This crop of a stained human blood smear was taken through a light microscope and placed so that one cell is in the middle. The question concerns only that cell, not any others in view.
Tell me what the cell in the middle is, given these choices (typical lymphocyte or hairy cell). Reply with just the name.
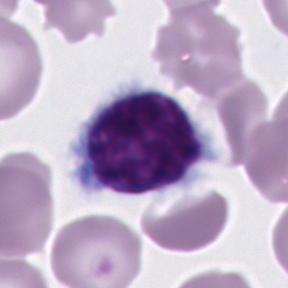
hairy cell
